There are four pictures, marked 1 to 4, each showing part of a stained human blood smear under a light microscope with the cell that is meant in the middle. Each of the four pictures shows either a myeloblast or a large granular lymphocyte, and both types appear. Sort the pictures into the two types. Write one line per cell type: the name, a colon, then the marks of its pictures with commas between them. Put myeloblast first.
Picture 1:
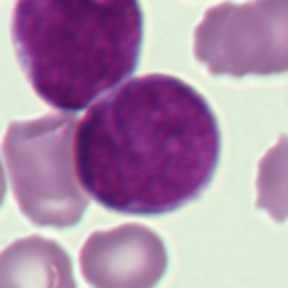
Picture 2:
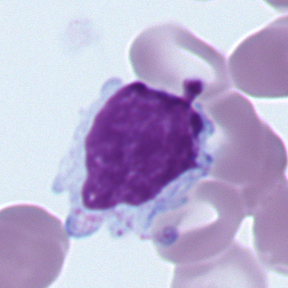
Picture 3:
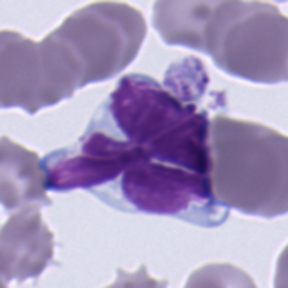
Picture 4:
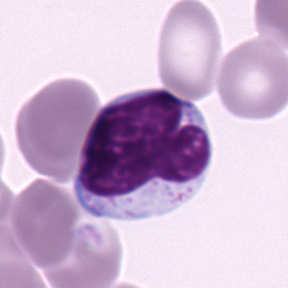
myeloblast: 1
large granular lymphocyte: 2, 3, 4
